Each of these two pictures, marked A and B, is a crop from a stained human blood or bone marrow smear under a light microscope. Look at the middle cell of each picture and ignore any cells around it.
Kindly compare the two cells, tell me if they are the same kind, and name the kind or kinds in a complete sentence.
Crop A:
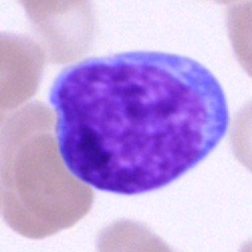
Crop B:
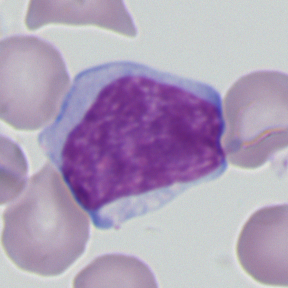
Yes, the two crops show blasts, one cell each.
